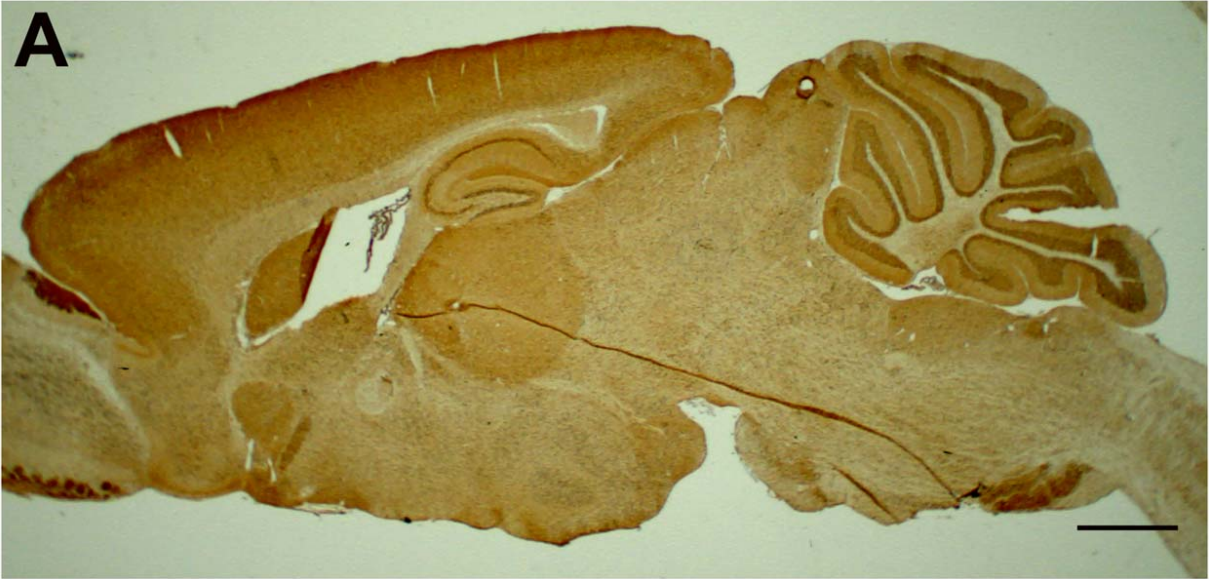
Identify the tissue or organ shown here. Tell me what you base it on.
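A whole sagittal section with cortex along the top. A folded, foliated structure at the upper right. The brainstem extending to the lower right. That points to this answer: brain.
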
